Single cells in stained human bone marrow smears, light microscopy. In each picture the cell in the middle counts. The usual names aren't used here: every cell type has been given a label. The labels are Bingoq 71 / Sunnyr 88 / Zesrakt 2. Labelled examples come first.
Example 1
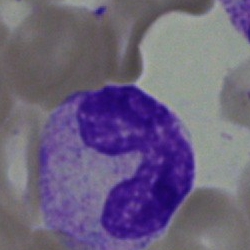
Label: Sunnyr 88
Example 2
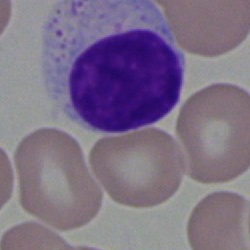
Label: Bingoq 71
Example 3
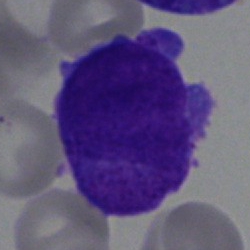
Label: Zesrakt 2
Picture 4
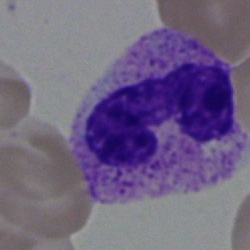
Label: Sunnyr 88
